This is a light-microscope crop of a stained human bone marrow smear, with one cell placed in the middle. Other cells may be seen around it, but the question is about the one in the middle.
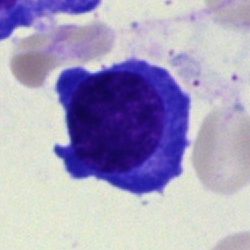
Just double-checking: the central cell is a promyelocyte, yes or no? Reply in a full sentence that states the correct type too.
No, the cell at the centre of the crop corresponds to a plasma cell, not a promyelocyte.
